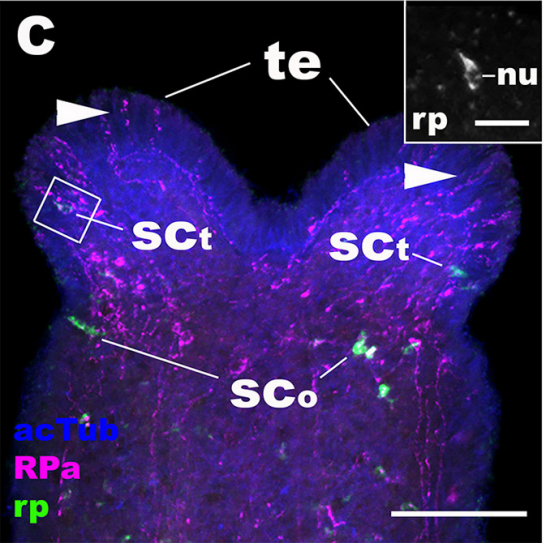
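The oral half of a polyp is seen at the surface ectoderm, with two rounded tentacle buds at the top and scattered sensory cells in the ectoderm. Small green cells lie in the tentacle buds and in the body column below them, and thin magenta neurites run lengthwise from the tentacles down the body.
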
